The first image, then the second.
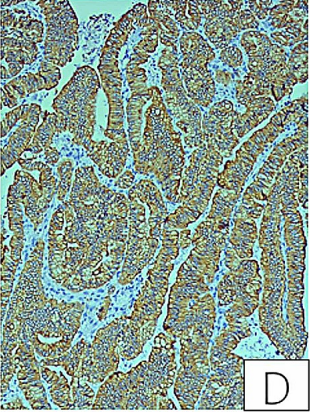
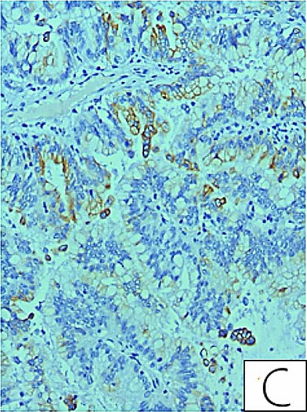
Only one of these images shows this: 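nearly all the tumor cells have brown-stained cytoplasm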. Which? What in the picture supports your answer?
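First image: brown colour fills the cytoplasm of the epithelium across the whole field. Second image: only scattered cells show brown colour, most epithelium is blue. So: the first image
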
